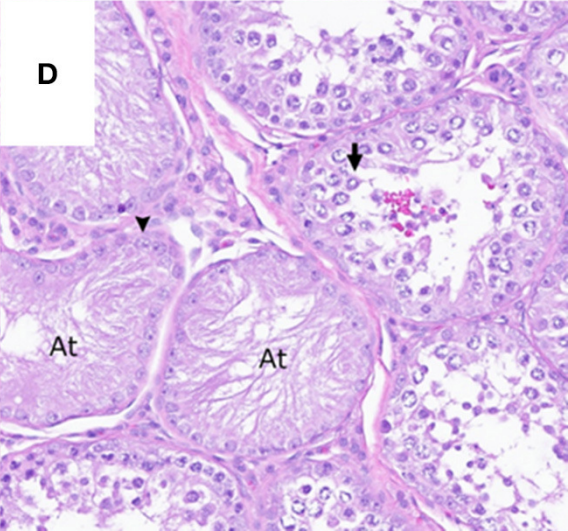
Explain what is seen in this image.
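Section of testis showing seminiferous tubules in two conditions. Thin pink interstitial connective tissue separates the tubules.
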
